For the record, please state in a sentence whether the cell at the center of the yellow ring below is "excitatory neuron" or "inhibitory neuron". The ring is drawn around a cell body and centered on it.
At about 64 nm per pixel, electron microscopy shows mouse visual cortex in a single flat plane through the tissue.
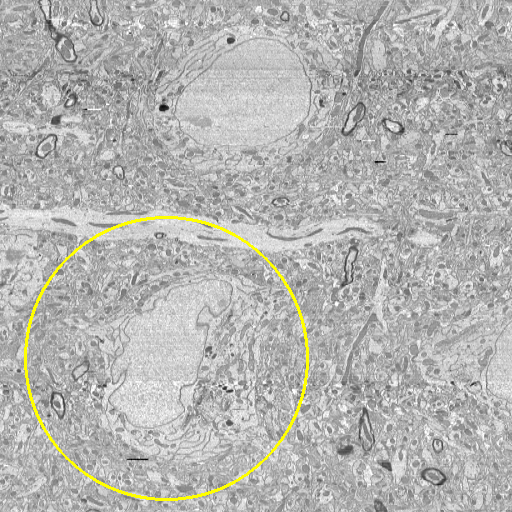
The cell at the ring's center is an inhibitory neuron.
